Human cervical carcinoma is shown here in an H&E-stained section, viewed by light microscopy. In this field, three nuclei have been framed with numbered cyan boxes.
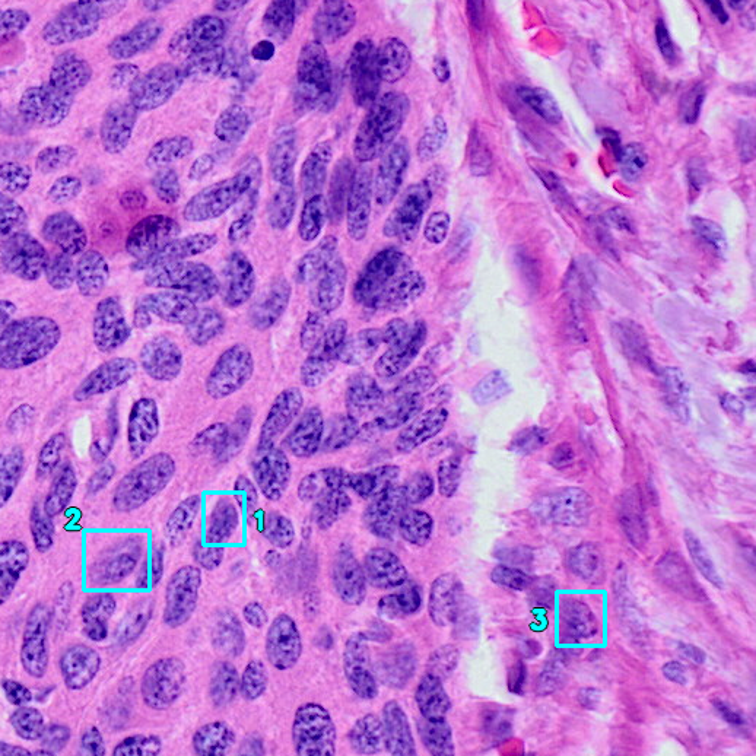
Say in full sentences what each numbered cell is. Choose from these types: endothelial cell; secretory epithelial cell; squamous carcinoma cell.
Cells 1 and 2 are squamous carcinoma cells. Cell 3 is an endothelial cell.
